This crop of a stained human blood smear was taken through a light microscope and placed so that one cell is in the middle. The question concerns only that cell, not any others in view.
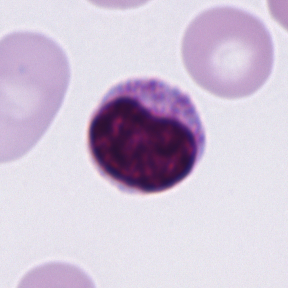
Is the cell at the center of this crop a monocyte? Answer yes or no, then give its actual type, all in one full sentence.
No, the middle cell is not a monocyte, it being a large granular lymphocyte.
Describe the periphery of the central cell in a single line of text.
Edge check done: smooth outline, no projections present.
